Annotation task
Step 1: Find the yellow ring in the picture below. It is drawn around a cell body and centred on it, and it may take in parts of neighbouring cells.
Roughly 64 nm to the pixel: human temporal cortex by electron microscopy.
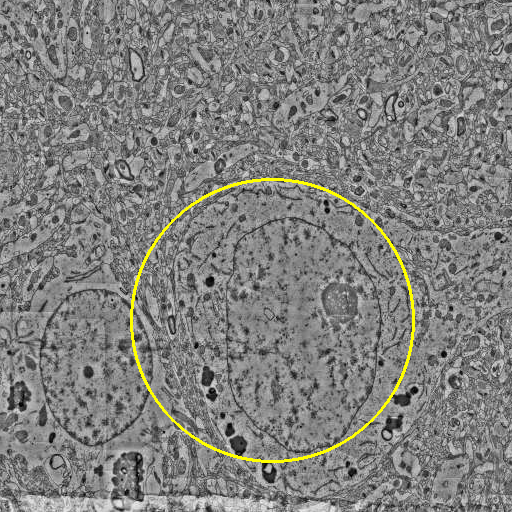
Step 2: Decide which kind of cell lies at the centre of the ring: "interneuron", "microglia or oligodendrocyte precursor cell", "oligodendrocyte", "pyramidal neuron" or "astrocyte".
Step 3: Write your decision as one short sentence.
The kind of cell at the ring's centre is a pyramidal neuron.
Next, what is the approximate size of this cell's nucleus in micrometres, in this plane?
In this plane the nucleus is about 15 micrometres by 10.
